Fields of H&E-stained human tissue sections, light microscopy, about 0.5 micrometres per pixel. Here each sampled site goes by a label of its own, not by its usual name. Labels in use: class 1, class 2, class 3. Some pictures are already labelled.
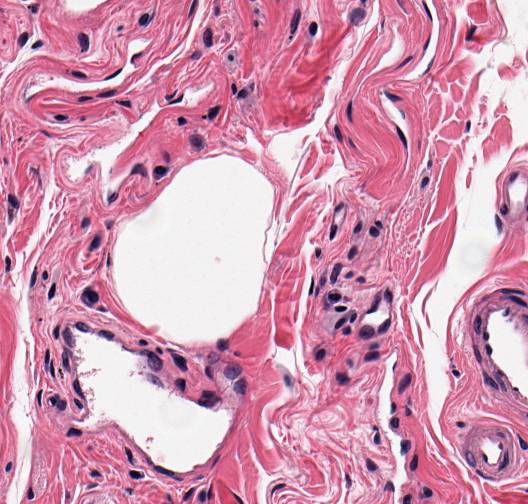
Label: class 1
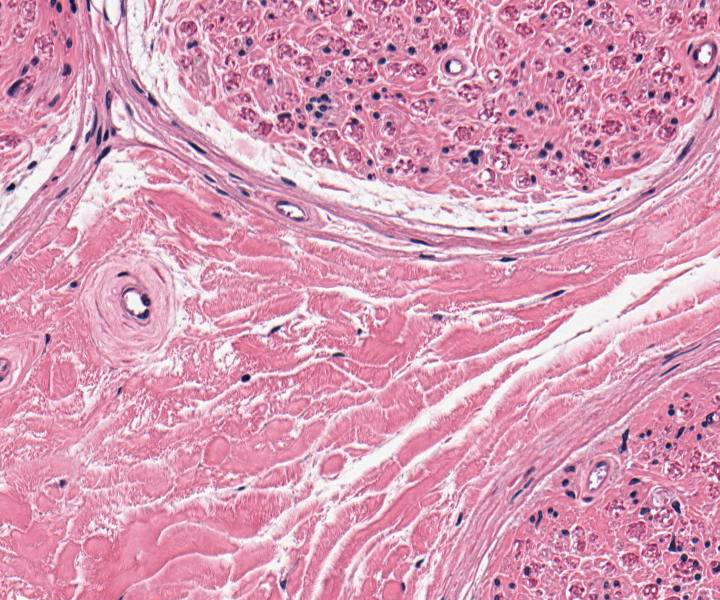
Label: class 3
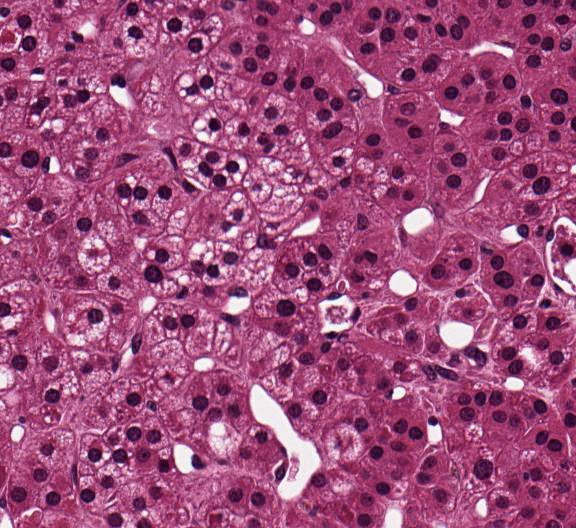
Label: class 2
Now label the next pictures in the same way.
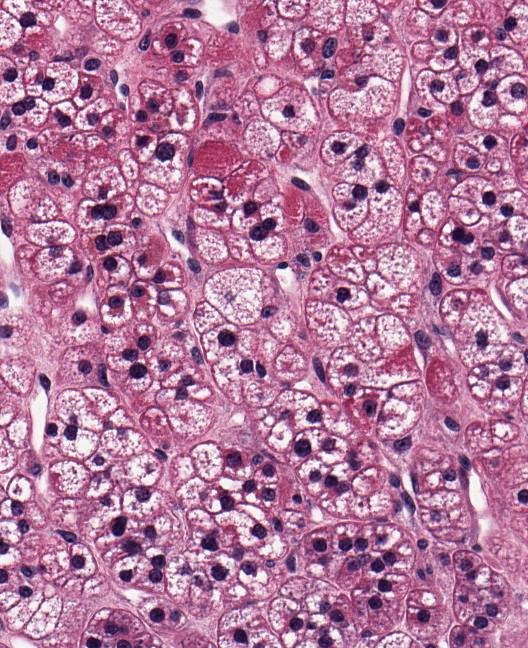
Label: class 2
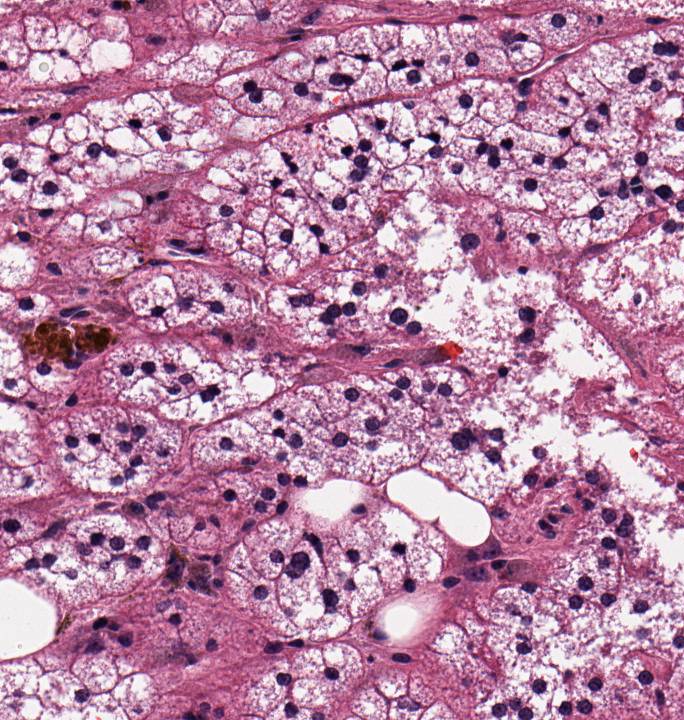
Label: class 2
